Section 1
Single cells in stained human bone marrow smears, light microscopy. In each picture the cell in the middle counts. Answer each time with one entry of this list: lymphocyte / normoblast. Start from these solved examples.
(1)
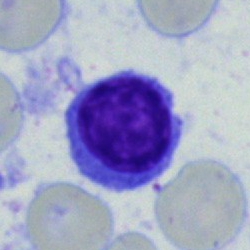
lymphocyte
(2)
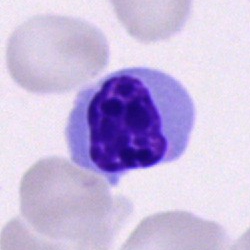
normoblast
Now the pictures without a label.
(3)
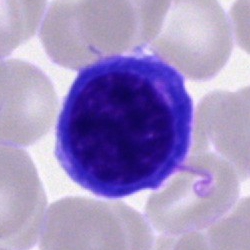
normoblast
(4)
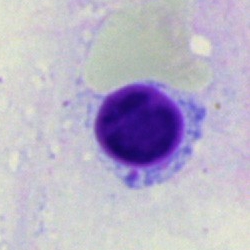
lymphocyte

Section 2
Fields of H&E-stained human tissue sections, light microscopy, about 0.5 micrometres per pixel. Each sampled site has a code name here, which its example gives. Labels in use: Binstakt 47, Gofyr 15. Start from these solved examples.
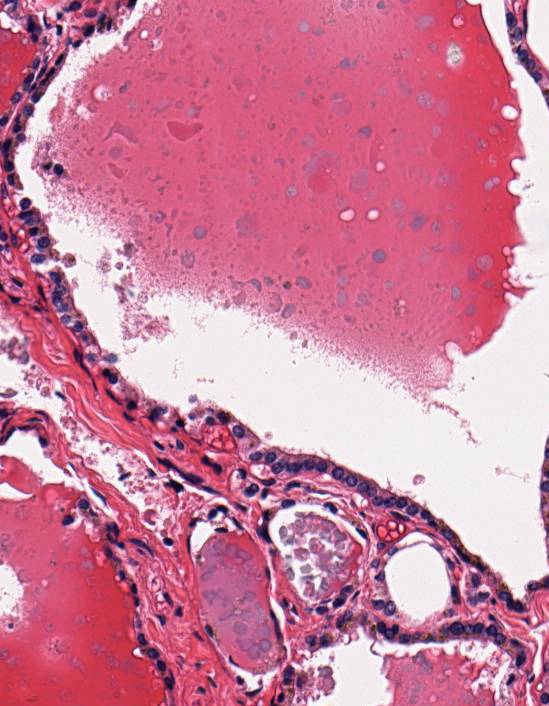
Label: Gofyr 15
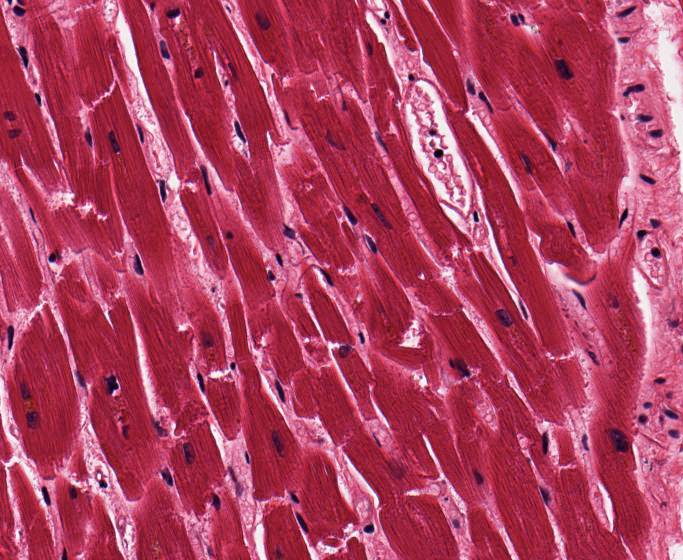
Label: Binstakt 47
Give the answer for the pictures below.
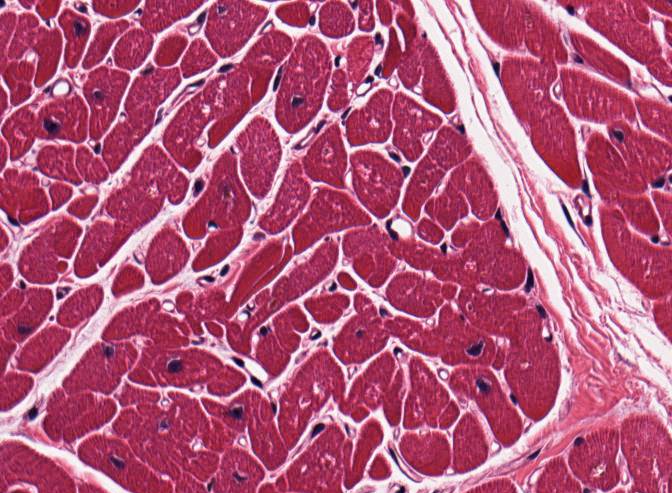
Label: Binstakt 47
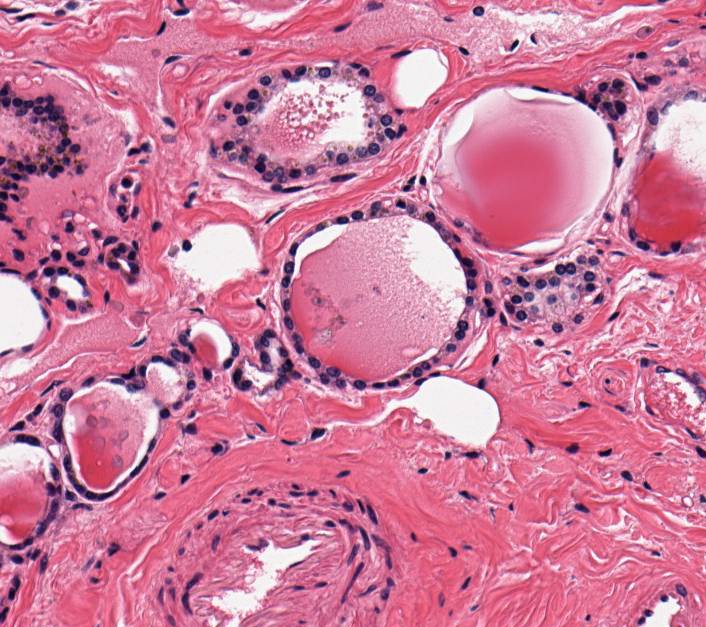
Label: Gofyr 15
